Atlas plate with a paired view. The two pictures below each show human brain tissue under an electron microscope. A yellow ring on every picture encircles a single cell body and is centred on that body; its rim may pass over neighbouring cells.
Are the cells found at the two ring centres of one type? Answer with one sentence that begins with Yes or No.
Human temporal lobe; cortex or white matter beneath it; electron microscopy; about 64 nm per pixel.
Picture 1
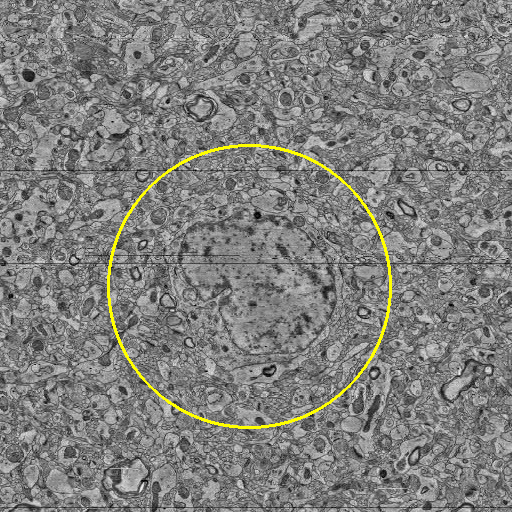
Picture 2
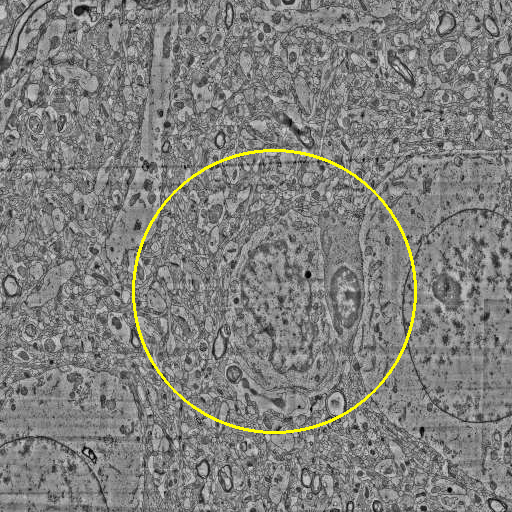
Yes, the two cells lying at the centres of the rings share a single type.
